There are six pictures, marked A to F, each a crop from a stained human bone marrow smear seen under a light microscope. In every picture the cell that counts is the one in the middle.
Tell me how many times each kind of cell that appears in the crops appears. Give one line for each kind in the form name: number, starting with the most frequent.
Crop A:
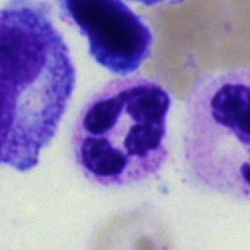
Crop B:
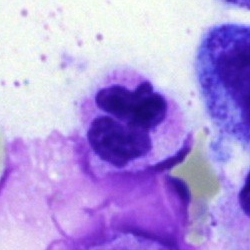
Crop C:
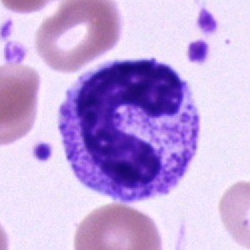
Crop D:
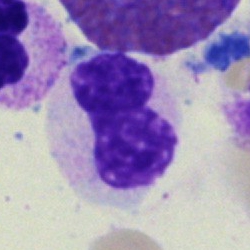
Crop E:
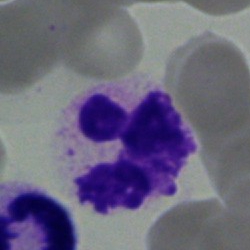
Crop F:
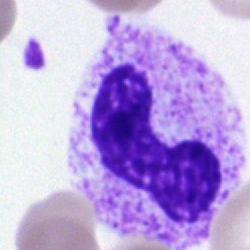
band neutrophil: 3
segmented neutrophil: 2
basophil: 1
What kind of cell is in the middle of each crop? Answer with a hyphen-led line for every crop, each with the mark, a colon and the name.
- A: segmented neutrophil
- B: segmented neutrophil
- C: band neutrophil
- D: band neutrophil
- E: basophil
- F: band neutrophil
